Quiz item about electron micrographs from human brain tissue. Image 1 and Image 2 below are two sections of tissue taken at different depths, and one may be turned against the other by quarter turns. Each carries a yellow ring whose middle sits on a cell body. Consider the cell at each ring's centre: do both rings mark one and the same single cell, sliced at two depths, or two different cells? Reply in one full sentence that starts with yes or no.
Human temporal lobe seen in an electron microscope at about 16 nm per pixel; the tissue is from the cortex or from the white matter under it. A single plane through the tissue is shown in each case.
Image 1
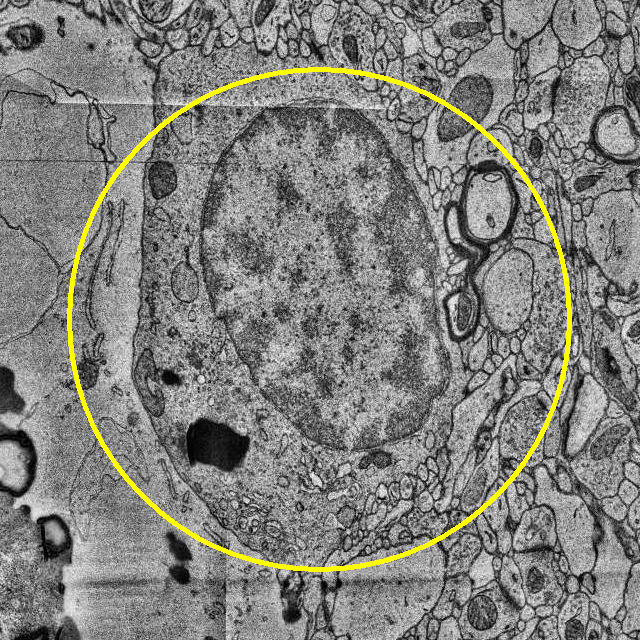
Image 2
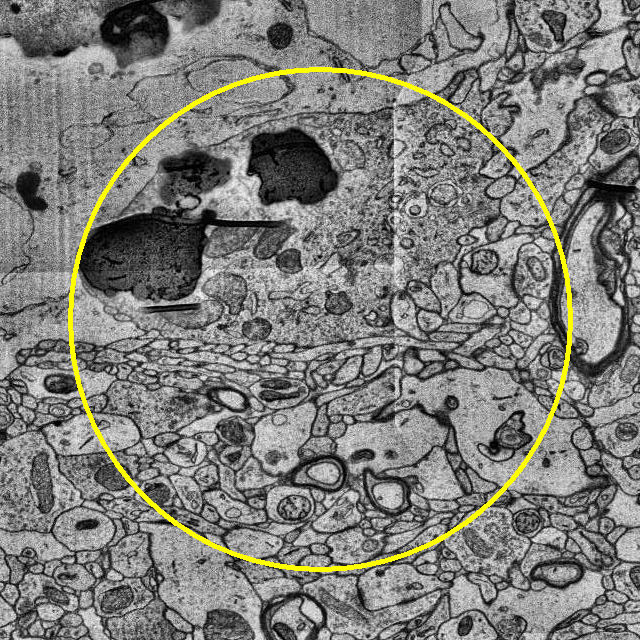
Yes, the cell marked in each ring is one and the same.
